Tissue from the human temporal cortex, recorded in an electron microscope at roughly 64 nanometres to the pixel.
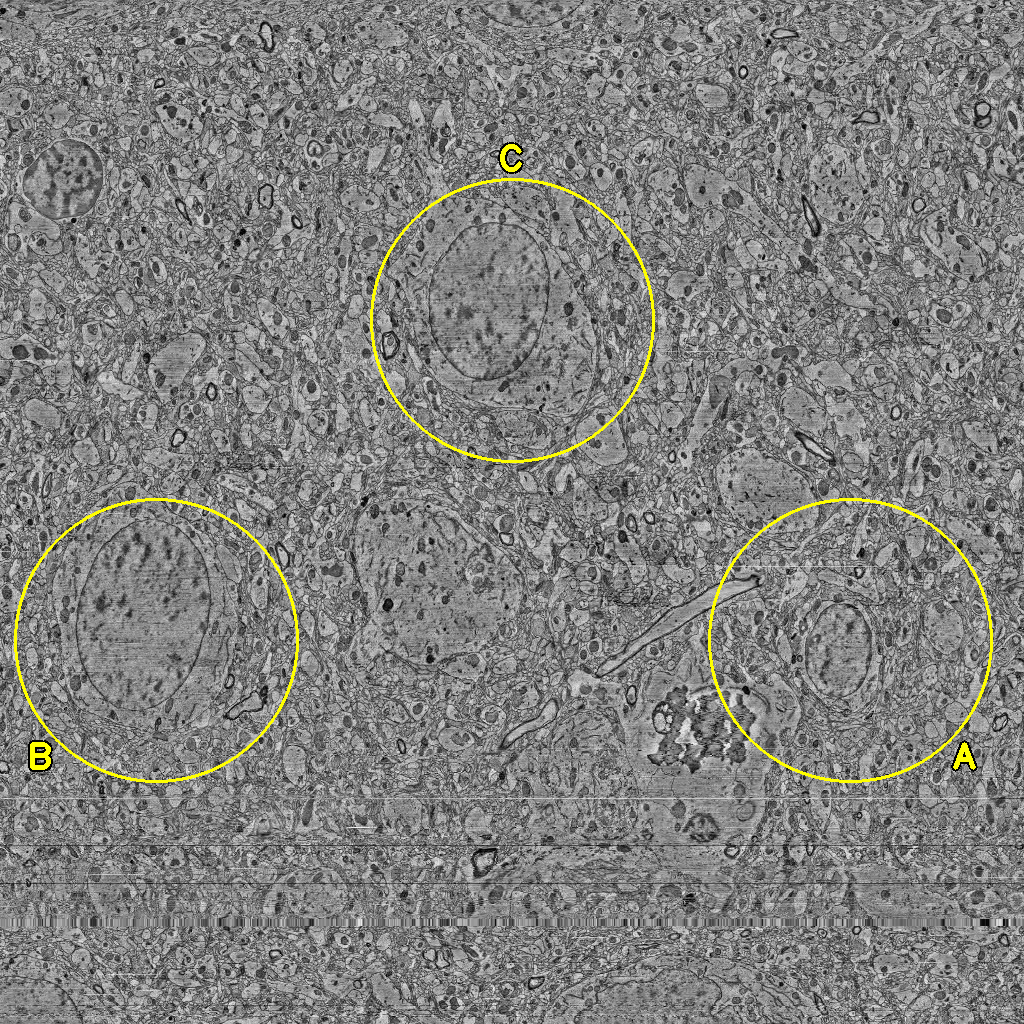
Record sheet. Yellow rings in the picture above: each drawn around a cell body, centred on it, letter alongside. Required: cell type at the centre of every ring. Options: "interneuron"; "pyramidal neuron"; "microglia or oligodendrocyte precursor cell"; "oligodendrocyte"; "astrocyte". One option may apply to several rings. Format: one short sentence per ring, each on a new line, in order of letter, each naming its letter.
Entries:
Ring A contains a microglial cell or oligodendrocyte precursor cell at the centre.
Ring B contains a pyramidal neuron at the centre.
Ring C contains a pyramidal neuron at the centre.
